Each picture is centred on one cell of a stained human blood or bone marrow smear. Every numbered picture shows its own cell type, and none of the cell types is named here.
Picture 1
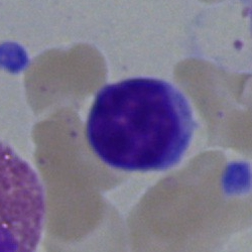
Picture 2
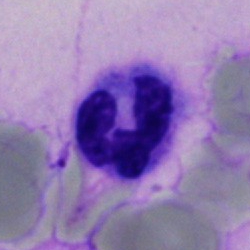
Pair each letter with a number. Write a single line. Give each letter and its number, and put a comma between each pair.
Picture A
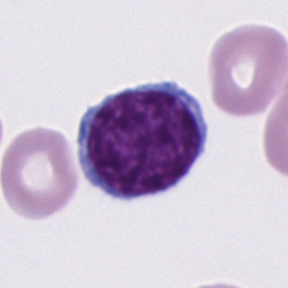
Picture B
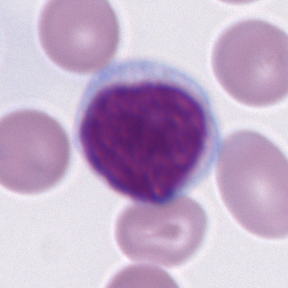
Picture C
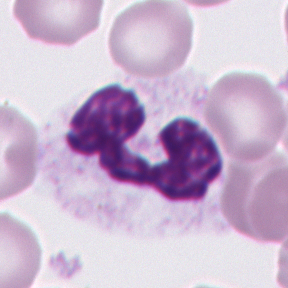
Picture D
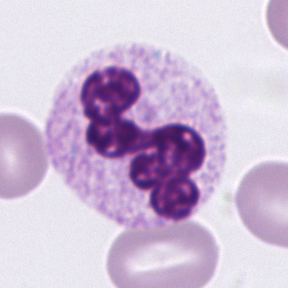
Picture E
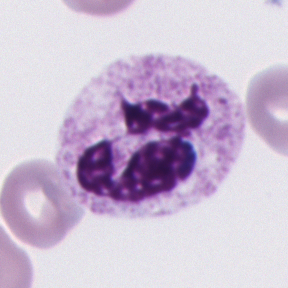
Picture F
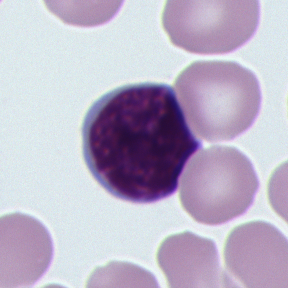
A 1, B 1, C 2, D 2, E 2, F 1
